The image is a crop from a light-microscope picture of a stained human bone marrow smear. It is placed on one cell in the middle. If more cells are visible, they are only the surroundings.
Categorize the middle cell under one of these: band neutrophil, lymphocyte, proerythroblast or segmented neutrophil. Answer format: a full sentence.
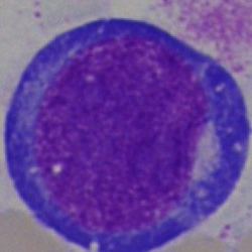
The central cell shown in this smear crop is a proerythroblast.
